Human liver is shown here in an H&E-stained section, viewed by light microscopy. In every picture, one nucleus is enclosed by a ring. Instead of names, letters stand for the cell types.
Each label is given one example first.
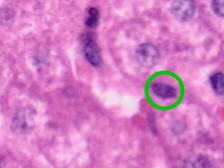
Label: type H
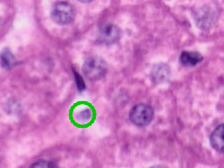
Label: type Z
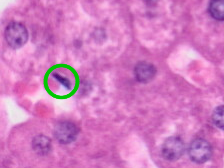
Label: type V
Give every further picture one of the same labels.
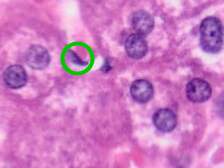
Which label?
type V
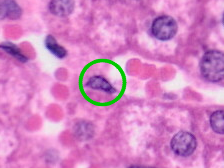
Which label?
type H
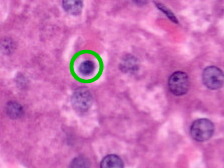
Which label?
type Z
